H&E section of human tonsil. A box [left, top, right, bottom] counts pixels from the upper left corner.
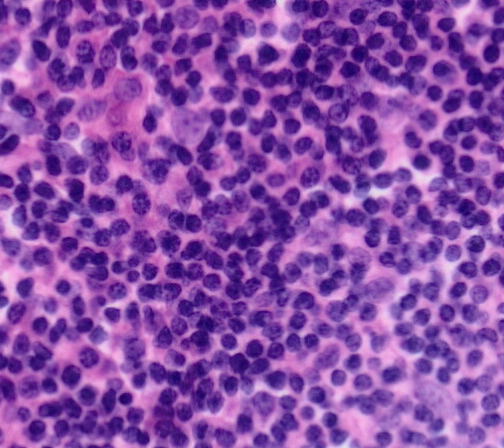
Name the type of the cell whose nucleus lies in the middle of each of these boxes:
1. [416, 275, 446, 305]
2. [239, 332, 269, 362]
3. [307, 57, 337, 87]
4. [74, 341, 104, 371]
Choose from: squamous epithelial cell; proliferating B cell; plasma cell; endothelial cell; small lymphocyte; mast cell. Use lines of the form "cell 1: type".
cell 1: small lymphocyte
cell 2: small lymphocyte
cell 3: small lymphocyte
cell 4: plasma cell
